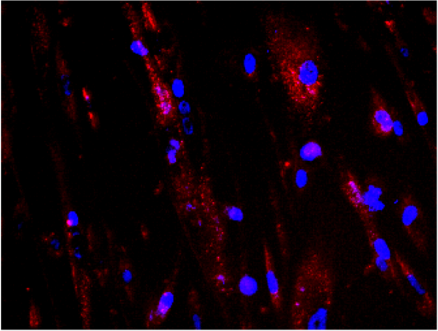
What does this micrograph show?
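Cultured myotubes are seen as elongated cells lying side by side, with oval blue nuclei spaced along them. Some cells are broad and flattened, while others are narrow and spindle-shaped.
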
